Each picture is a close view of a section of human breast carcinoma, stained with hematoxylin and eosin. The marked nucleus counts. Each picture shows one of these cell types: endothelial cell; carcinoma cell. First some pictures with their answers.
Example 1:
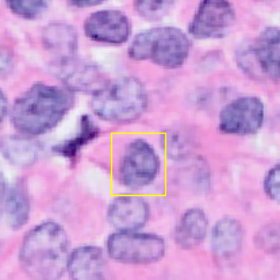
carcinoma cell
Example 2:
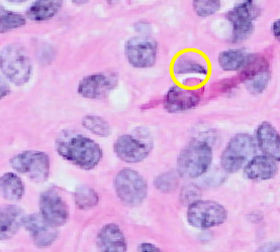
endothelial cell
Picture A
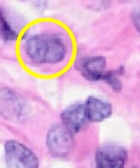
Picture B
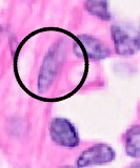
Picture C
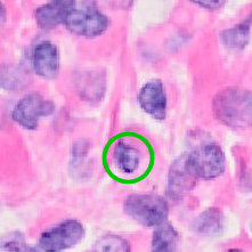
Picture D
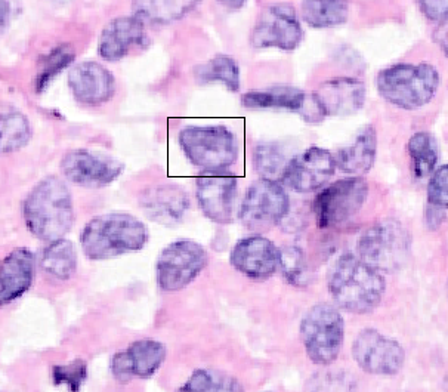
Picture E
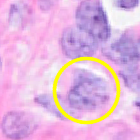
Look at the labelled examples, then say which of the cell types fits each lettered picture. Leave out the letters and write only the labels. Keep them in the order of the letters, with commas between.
carcinoma cell, endothelial cell, endothelial cell, carcinoma cell, carcinoma cell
